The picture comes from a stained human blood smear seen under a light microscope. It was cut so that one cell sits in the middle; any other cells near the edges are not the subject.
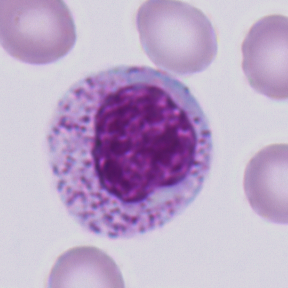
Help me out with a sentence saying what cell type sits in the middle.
The single cell at the center of the crop is a myelocyte.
